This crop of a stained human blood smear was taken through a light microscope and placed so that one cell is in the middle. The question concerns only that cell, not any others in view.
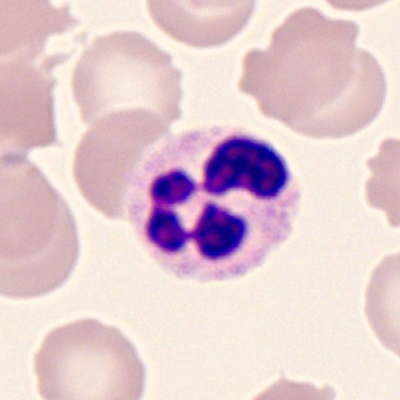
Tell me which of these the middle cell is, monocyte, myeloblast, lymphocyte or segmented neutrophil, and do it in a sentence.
The cell that lies at the centre of the crop is a segmented neutrophil.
